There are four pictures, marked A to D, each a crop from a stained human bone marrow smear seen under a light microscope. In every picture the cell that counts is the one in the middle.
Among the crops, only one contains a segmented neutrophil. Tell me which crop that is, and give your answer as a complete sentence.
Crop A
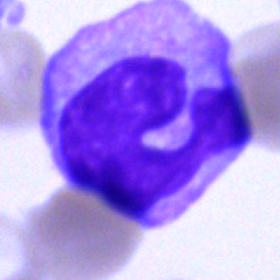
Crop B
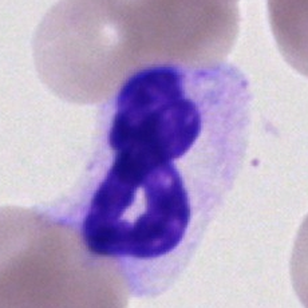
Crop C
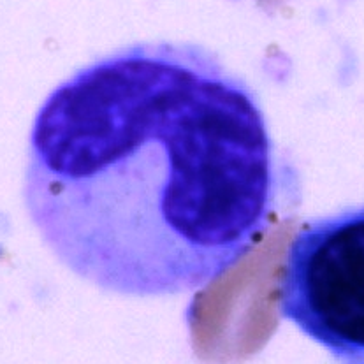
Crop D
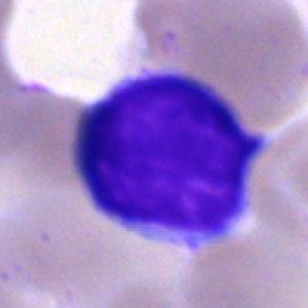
Of the labelled crops, the one that shows a segmented neutrophil is crop B.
